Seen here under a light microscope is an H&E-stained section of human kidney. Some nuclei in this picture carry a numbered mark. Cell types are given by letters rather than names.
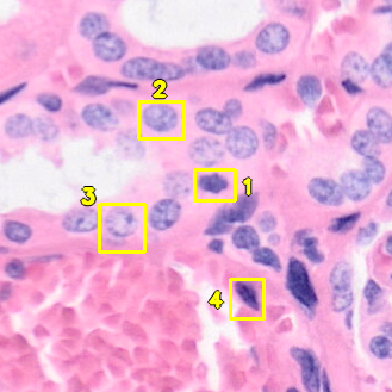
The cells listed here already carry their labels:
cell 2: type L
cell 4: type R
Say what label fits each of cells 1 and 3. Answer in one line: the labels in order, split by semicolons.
type L; type L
